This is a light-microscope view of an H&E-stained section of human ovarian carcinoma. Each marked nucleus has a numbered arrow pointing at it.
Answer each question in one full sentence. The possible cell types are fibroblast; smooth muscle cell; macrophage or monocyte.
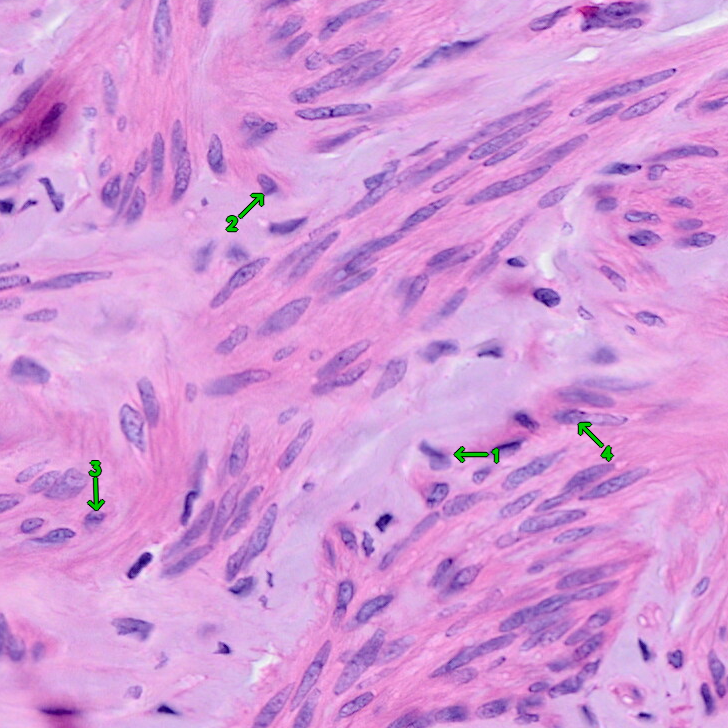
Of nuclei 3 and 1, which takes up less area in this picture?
With nucleus 1 about 1.5 times its size, nucleus 3 is the smaller of the two.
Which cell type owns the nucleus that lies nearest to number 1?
Number 1 lies closest to the nucleus of a smooth muscle cell.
